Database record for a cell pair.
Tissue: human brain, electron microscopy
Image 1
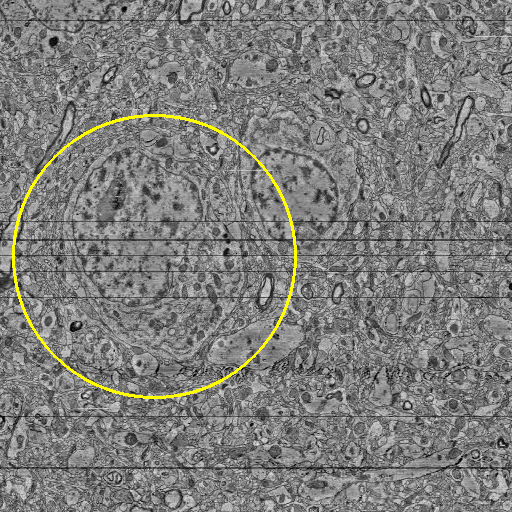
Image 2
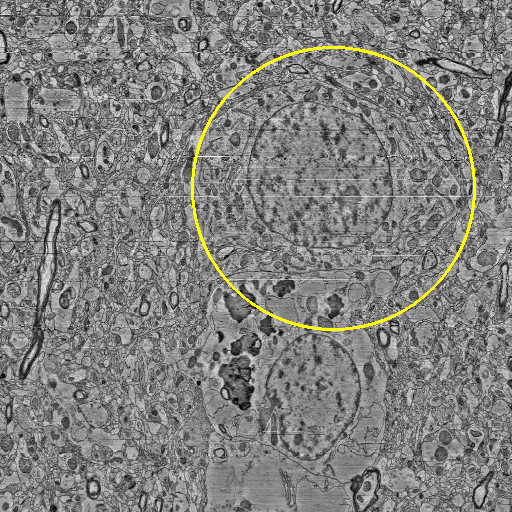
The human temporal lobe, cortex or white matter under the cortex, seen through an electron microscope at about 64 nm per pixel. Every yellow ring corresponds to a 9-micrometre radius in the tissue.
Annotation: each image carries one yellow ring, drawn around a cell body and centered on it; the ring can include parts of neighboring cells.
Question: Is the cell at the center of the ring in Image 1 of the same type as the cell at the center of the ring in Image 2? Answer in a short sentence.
Yes, the cells are of the same type.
